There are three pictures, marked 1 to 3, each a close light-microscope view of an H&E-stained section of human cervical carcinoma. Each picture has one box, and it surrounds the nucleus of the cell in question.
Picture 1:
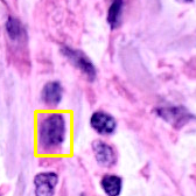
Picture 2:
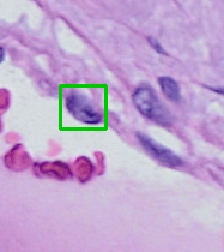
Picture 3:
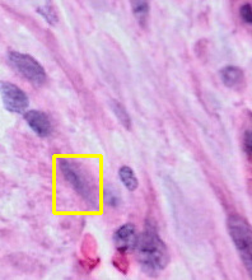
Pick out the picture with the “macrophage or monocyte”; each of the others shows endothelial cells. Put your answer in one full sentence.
The “macrophage or monocyte” is the one in picture 1.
